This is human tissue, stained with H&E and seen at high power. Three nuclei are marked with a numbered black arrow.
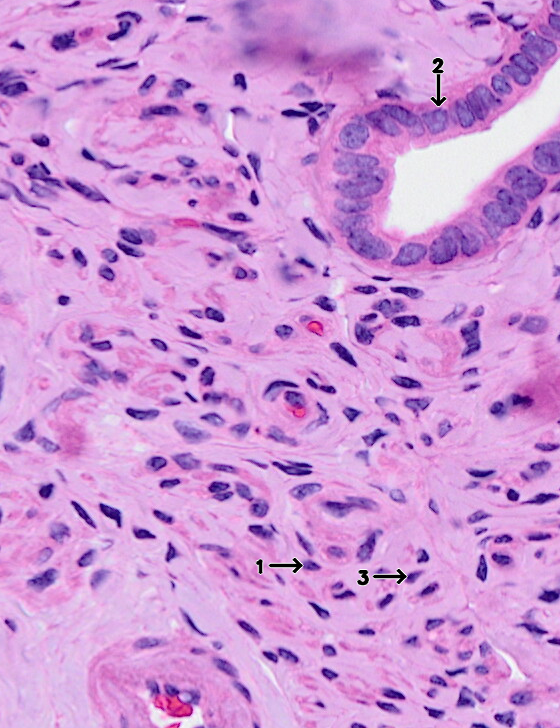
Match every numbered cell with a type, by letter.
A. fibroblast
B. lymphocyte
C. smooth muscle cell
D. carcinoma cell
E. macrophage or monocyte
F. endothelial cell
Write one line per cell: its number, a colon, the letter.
1: C
2: D
3: C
